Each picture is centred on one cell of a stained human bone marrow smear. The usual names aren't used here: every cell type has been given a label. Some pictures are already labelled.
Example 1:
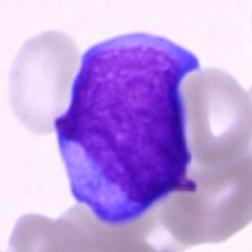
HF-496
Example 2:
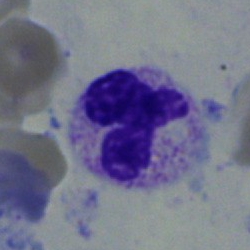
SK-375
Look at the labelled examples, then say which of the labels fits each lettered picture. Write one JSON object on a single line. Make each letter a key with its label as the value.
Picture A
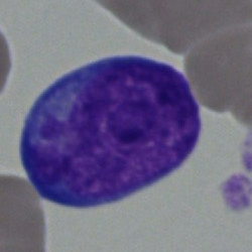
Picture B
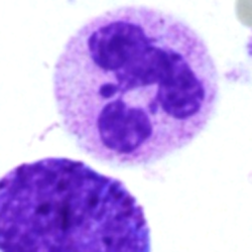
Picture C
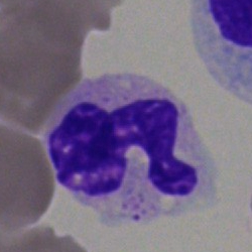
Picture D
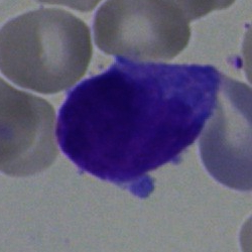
{"A": "HF-496", "B": "SK-375", "C": "SK-375", "D": "HF-496"}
